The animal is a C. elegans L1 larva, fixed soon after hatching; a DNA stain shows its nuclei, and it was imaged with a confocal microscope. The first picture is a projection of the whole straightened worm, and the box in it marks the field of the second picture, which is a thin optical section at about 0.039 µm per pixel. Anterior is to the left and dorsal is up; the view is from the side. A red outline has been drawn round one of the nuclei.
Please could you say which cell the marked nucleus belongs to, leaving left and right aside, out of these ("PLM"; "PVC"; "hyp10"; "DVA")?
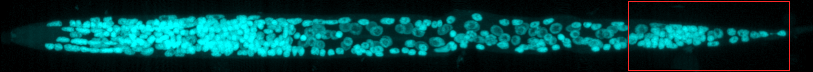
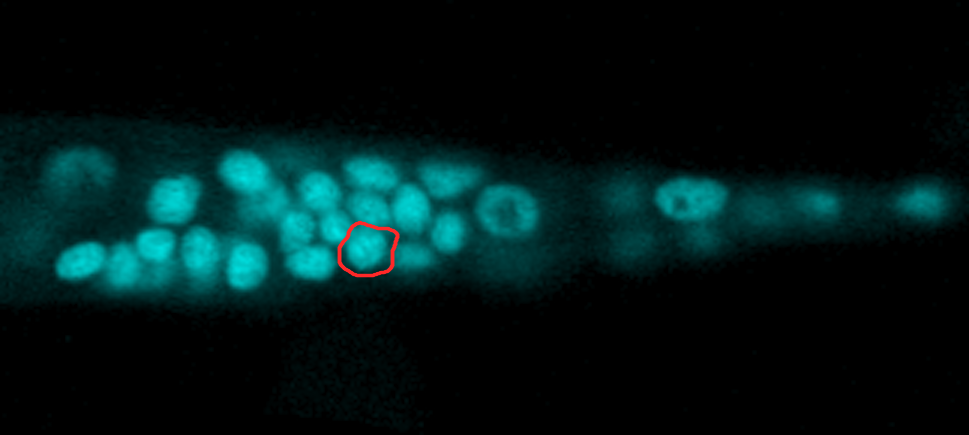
PVC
